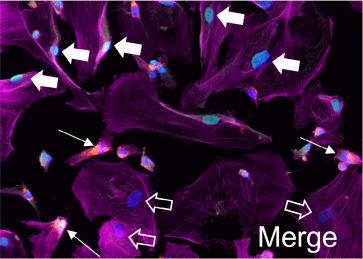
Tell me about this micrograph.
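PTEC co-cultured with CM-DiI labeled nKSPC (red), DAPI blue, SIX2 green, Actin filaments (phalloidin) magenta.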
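Large flat proximal tubule epithelial cells lie spread out, their cytoplasm crossed by magenta fibre bundles and each holding an oval nucleus. Several of these cells have nuclei glowing cyan from green overlapping blue, while others keep plain blue nuclei.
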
